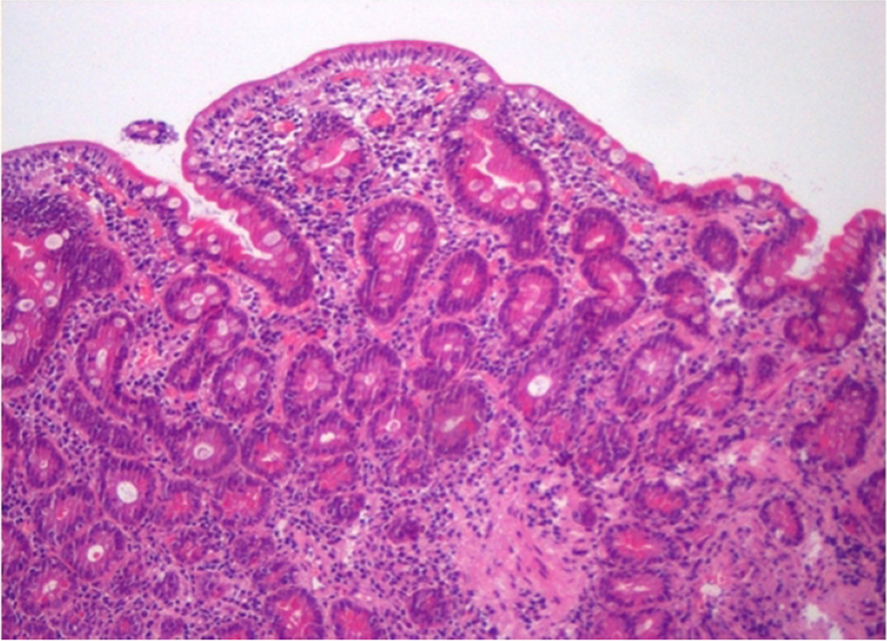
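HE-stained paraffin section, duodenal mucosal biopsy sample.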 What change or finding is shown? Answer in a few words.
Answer: Subtotal villous atrophy.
